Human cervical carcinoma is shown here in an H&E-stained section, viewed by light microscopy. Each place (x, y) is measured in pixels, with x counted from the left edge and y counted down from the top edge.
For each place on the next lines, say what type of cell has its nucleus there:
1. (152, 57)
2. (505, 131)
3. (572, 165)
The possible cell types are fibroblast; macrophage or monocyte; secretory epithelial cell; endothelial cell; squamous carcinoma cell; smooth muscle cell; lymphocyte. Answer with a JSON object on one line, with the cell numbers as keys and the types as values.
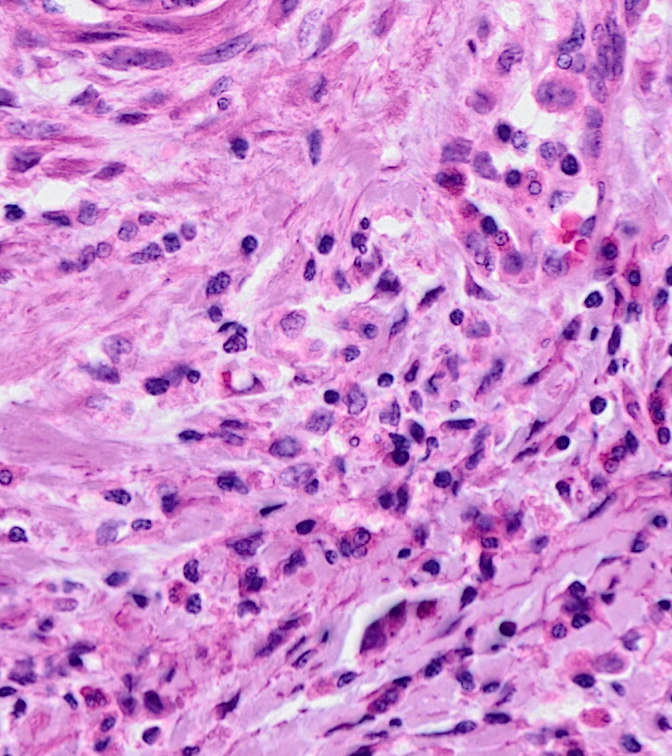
{"1": "fibroblast", "2": "lymphocyte", "3": "lymphocyte"}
